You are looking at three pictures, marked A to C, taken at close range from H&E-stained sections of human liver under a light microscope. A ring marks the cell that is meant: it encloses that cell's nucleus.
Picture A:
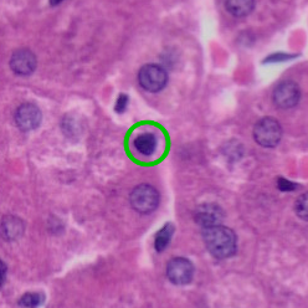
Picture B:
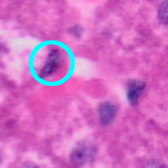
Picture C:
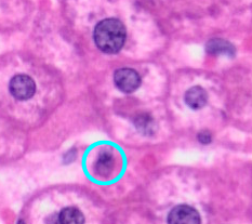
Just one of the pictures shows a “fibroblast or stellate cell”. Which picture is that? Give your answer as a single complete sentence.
The picture with the “fibroblast or stellate cell” is A.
